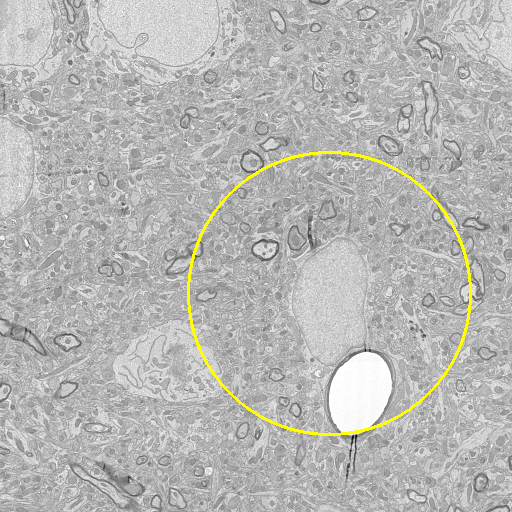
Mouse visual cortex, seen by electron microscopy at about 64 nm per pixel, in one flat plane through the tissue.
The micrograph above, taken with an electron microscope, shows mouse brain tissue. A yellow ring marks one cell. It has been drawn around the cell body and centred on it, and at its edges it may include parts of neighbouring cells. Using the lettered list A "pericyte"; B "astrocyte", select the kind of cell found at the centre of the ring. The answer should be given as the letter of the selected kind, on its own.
B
